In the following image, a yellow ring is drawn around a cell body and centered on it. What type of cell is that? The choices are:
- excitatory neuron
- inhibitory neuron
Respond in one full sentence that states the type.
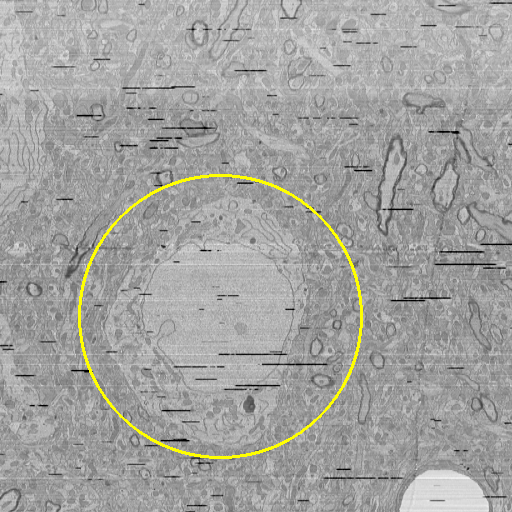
The cell at the center of the yellow ring in the image is an excitatory neuron.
